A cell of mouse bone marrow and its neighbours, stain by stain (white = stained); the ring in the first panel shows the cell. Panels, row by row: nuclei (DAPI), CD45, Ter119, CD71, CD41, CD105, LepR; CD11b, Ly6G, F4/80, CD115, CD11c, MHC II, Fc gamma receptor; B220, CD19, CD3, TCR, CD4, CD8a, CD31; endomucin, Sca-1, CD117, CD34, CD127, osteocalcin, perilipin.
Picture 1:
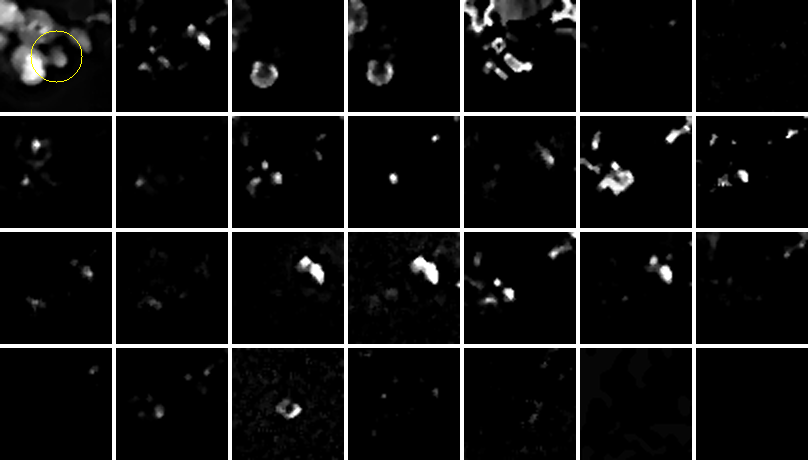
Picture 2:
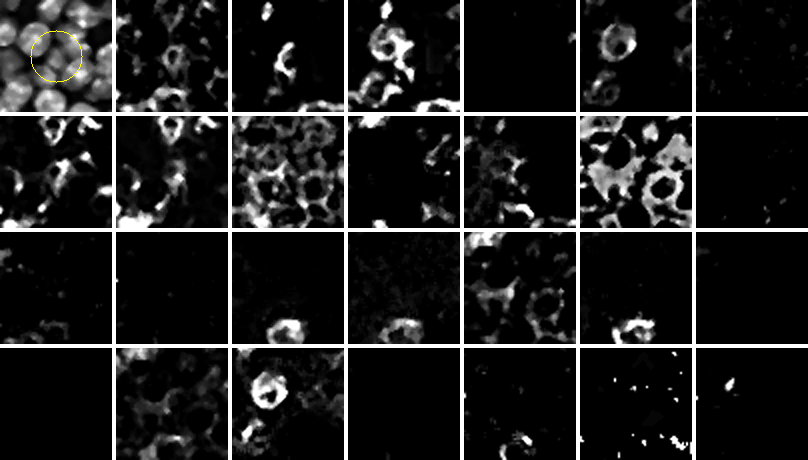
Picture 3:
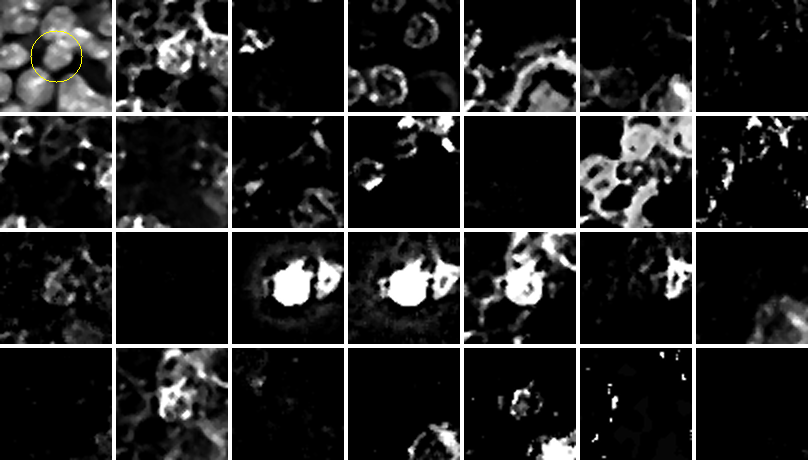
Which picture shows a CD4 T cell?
Picture 3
